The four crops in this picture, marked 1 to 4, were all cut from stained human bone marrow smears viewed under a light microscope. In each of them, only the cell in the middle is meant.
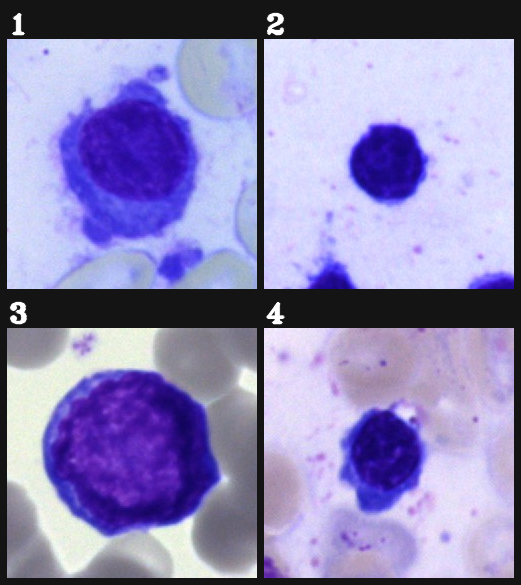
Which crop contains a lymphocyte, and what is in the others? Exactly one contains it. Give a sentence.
In this group, crop 2 shows a lymphocyte, while crop 1 is a plasma cell, crop 3 is a blast and crop 4 is a normoblast.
